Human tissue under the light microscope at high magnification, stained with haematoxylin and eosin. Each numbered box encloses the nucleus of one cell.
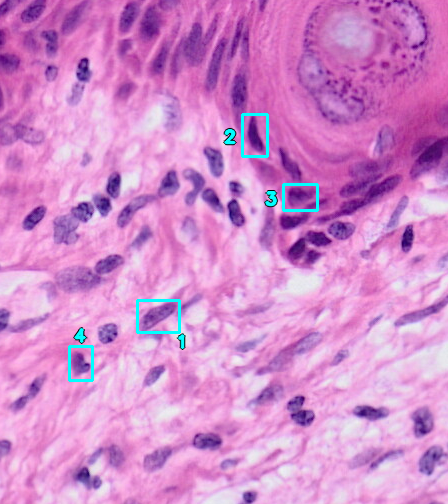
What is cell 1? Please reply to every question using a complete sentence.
In this section, the cell tagged 1 is a fibroblast or myofibroblast.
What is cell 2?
Identified as a keratinocyte is the cell bearing the number 2.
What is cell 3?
The cell carrying label 3 is identified as a keratinocyte.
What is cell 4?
As for number 4, that cell is a lymphocyte.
